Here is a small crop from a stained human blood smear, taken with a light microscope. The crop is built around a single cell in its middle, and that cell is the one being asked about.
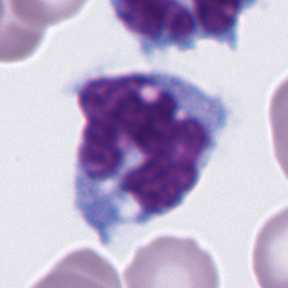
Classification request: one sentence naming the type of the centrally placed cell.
Of the cells in this crop, the central one is a monocyte.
